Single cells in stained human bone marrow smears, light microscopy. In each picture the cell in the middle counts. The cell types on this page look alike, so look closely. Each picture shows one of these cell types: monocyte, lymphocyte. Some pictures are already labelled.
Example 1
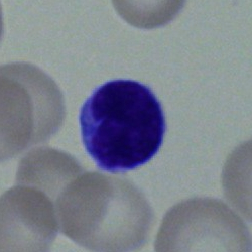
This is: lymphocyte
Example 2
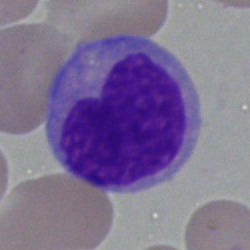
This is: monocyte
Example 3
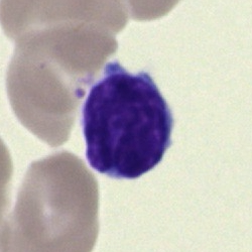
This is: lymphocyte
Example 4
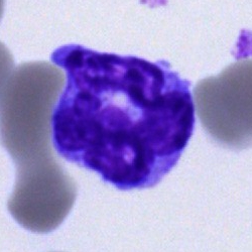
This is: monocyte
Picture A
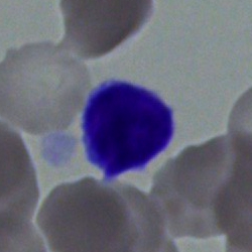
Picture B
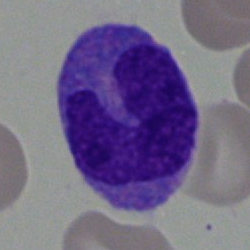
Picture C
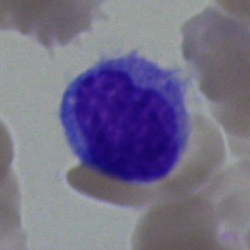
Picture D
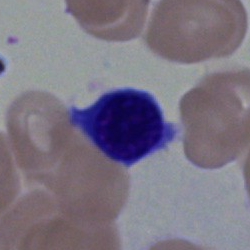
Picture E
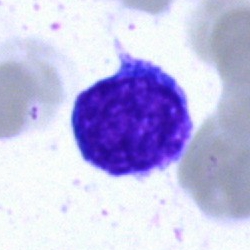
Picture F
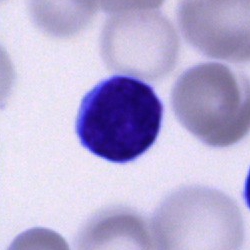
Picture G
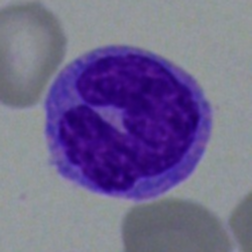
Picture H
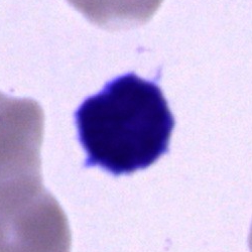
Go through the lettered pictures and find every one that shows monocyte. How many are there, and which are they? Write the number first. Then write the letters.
Count: 3 (B, C, G)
